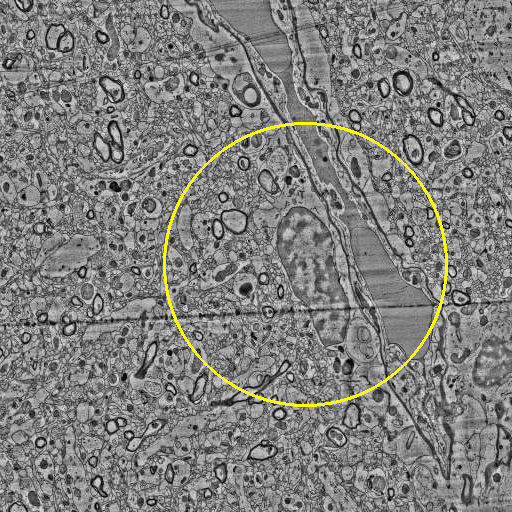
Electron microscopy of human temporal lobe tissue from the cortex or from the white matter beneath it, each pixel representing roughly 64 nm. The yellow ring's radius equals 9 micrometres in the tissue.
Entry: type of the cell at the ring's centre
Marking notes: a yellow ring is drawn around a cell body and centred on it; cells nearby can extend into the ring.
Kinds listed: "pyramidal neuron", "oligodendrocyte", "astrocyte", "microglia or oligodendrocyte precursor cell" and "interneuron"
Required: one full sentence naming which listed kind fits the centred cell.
My entry names a microglial cell or oligodendrocyte precursor cell as the cell whose body the yellow ring centres on.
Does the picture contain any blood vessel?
Yes.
